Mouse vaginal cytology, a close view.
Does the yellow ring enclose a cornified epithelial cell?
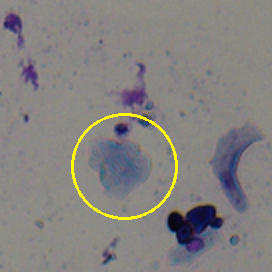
Yes. The ring encloses a cornified epithelial cell.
